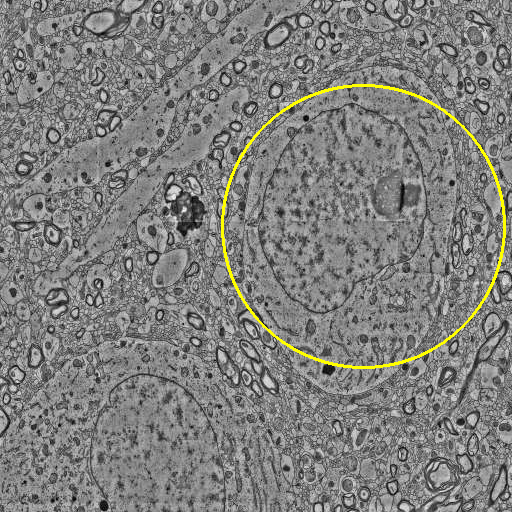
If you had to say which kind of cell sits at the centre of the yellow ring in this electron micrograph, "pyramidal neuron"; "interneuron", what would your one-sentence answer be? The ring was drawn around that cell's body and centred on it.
The cell sitting at the centre of the ring is a pyramidal neuron.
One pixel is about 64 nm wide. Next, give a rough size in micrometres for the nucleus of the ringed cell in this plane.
In this plane, approximately 14 by 11 micrometers.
